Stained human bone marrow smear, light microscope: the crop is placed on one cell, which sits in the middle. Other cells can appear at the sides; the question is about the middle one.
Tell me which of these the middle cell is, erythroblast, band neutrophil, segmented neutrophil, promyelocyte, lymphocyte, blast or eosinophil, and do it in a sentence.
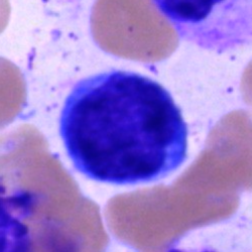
What the crop centres on is a lymphocyte.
